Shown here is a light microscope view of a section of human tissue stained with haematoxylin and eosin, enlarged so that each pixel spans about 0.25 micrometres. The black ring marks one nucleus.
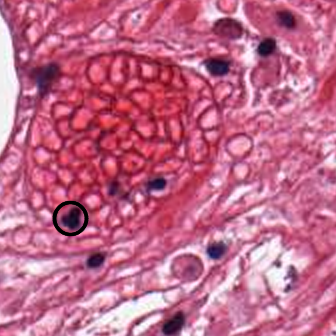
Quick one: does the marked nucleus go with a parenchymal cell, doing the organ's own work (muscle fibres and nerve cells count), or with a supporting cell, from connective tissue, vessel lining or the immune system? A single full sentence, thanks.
The marked nucleus is found in a supporting cell.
